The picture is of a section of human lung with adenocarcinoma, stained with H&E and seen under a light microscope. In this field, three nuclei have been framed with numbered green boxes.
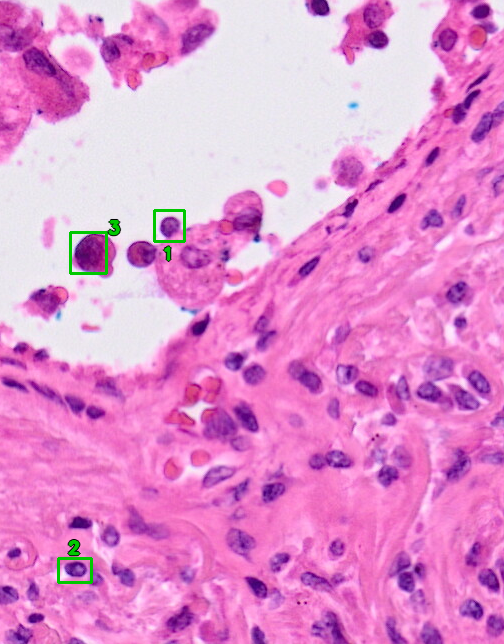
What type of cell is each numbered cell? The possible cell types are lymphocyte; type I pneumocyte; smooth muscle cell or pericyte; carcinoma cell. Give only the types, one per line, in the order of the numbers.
lymphocyte
lymphocyte
carcinoma cell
